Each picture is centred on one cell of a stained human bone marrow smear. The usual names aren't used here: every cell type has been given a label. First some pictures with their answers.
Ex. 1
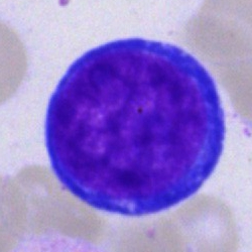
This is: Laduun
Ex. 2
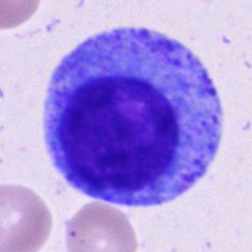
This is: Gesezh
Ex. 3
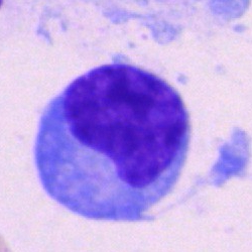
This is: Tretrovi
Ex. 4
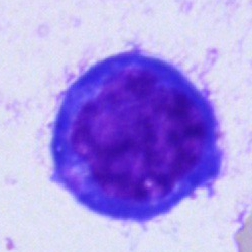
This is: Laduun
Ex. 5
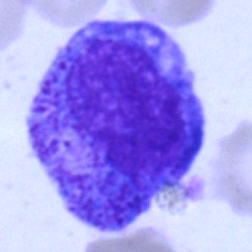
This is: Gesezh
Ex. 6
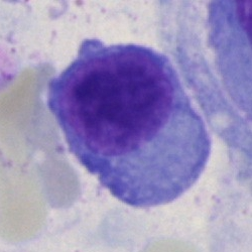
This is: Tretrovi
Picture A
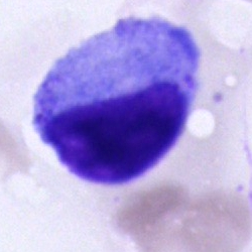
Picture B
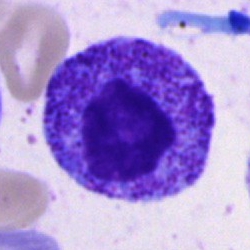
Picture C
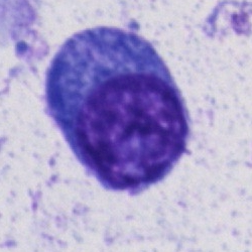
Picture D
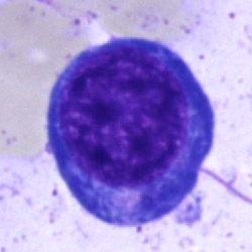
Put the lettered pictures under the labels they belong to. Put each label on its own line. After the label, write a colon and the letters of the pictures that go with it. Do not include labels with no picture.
Laduun: D
Gesezh: A, B
Tretrovi: C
